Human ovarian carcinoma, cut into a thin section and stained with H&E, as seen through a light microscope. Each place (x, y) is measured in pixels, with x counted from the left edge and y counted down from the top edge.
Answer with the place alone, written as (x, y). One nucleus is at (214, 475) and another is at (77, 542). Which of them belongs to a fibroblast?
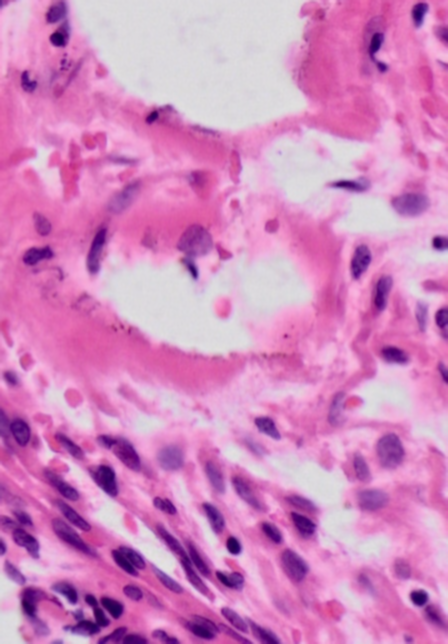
(214, 475)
